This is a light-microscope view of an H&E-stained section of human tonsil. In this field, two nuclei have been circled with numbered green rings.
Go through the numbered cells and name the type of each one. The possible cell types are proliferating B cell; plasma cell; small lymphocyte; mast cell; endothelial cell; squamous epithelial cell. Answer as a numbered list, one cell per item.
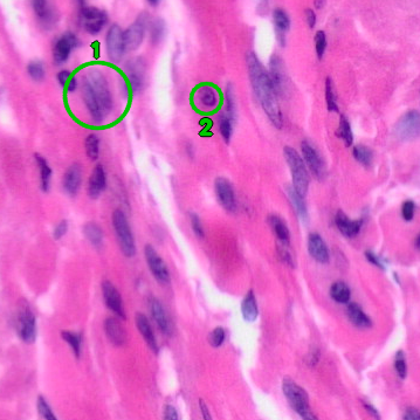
1. endothelial cell
2. mast cell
